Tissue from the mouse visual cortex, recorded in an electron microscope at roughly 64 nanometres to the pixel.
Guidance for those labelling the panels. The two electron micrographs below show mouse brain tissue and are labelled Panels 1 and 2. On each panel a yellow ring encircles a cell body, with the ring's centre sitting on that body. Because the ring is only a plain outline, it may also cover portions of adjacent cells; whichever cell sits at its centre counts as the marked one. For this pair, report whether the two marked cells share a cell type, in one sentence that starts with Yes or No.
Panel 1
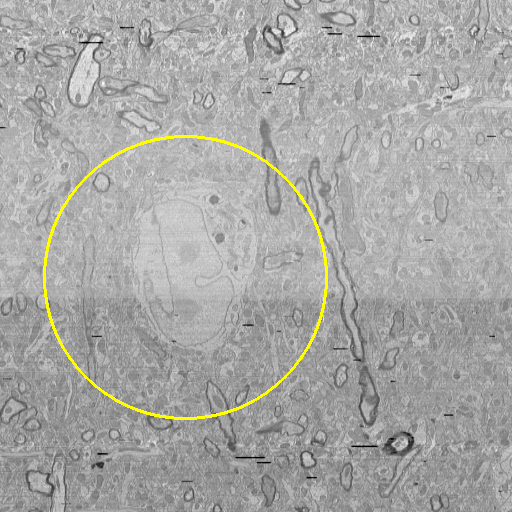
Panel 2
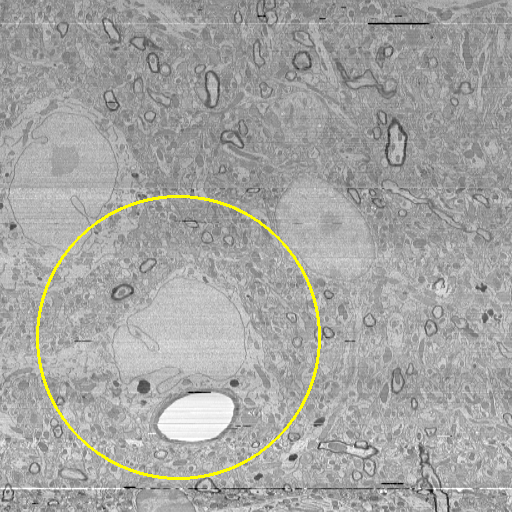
Yes, in Panel 1 and Panel 2 the marked cells at the ring centres share one type.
